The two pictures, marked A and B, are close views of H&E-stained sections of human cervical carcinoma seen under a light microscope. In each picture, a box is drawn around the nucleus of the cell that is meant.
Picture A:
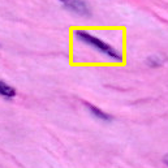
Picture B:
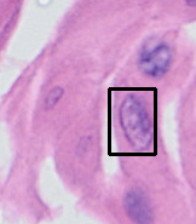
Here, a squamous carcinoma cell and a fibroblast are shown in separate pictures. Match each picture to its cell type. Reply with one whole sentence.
It is picture A that shows a fibroblast, and picture B that shows a squamous carcinoma cell.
